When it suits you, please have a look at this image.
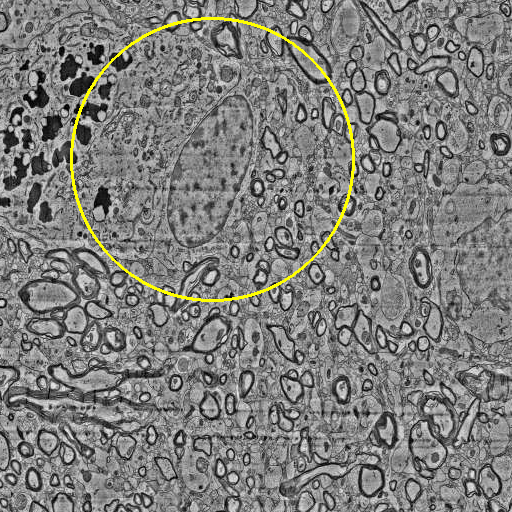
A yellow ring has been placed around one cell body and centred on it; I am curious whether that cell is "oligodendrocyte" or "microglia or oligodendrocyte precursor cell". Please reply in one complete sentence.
The ringed cell, a microglial cell or oligodendrocyte precursor cell, has its body at the centre of the yellow ring.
